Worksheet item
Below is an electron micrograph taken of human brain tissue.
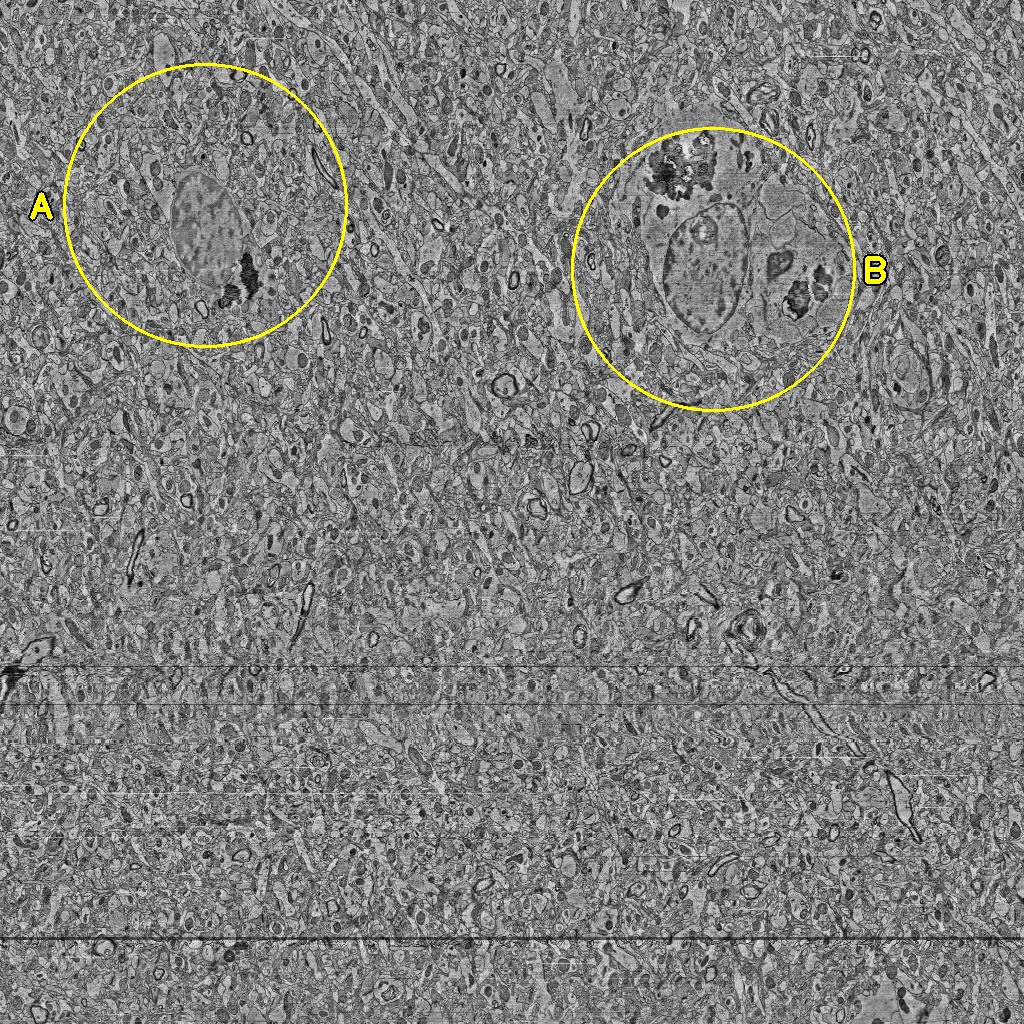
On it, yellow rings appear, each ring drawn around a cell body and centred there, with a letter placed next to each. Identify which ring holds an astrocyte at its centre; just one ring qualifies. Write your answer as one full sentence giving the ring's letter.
Ring B has the cell asked for right at its centre in the picture.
